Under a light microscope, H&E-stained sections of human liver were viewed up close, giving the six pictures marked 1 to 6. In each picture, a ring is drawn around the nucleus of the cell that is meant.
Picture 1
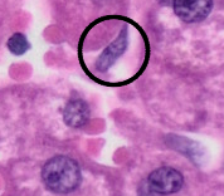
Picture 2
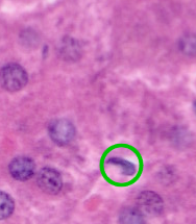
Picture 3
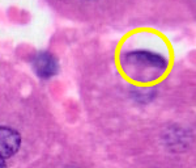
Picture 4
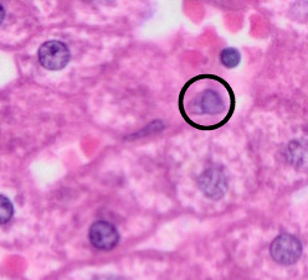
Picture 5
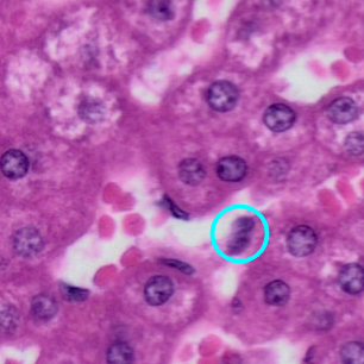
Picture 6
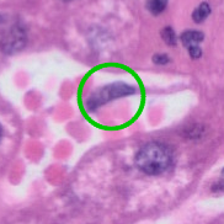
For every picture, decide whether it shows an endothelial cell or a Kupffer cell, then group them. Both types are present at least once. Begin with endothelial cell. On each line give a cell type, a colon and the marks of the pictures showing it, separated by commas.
endothelial cell: 2, 3
Kupffer cell: 1, 4, 5, 6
